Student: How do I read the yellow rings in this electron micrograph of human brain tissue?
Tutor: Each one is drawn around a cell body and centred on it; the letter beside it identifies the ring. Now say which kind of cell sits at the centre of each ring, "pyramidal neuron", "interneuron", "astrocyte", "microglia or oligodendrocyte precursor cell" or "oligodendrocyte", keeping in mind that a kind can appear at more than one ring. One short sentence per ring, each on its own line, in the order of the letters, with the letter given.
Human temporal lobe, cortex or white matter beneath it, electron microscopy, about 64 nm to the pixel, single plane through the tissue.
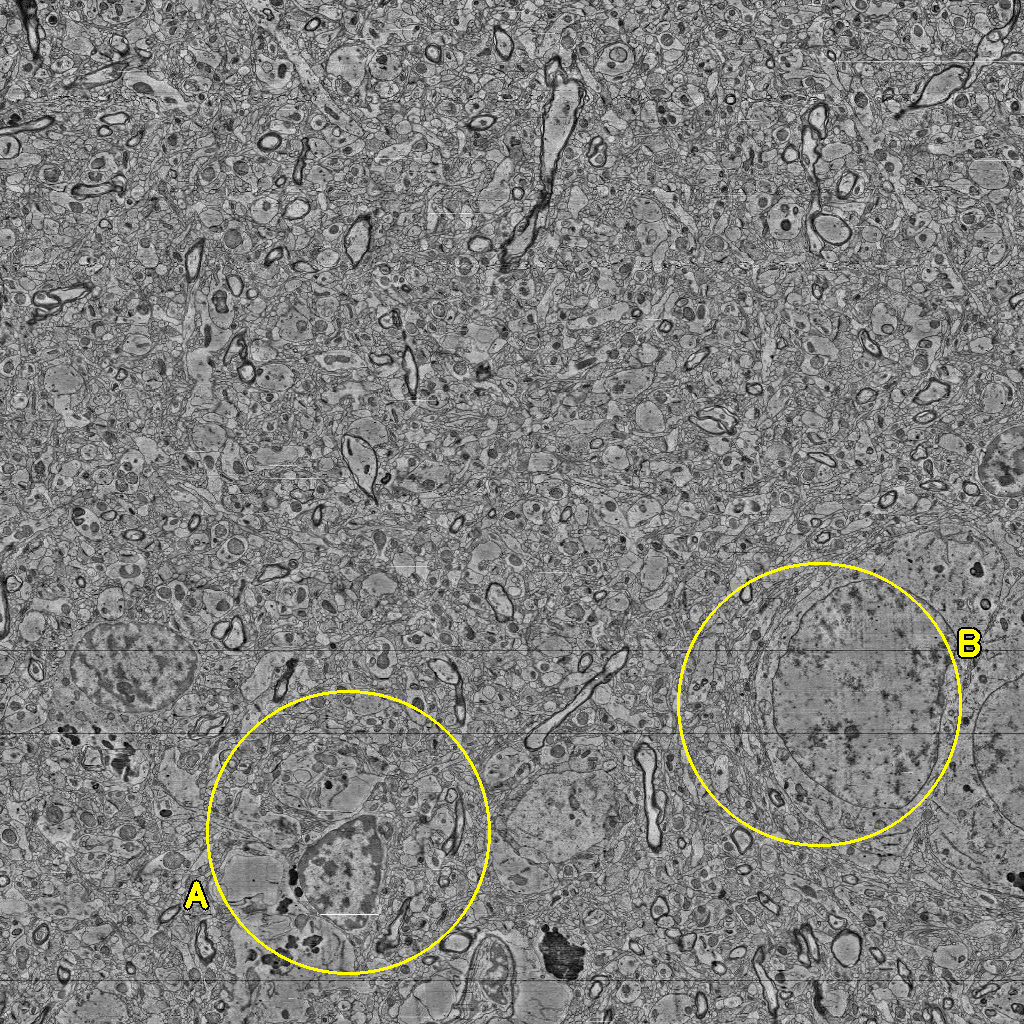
In the centre of ring A is a microglial cell or oligodendrocyte precursor cell.
In the centre of ring B is a pyramidal neuron.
